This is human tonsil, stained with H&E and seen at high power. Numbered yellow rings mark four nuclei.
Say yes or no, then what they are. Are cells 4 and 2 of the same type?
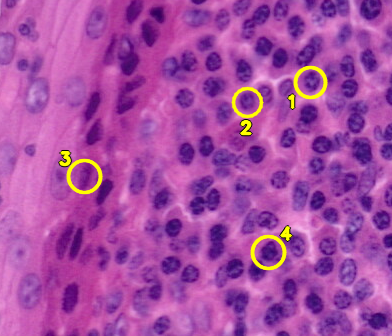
Yes, cells 4 and 2 are both identified as plasma cells.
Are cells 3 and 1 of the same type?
No, in contrast to cell 1, which is a plasma cell, cell 3 is a squamous epithelial cell.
